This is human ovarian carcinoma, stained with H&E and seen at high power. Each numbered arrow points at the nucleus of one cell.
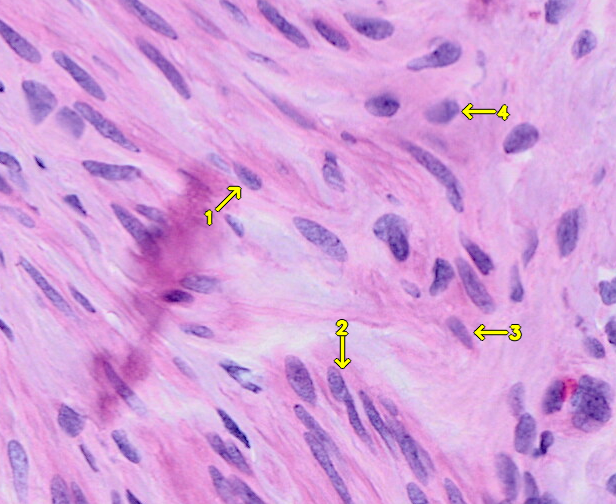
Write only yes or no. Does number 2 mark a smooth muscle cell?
yes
